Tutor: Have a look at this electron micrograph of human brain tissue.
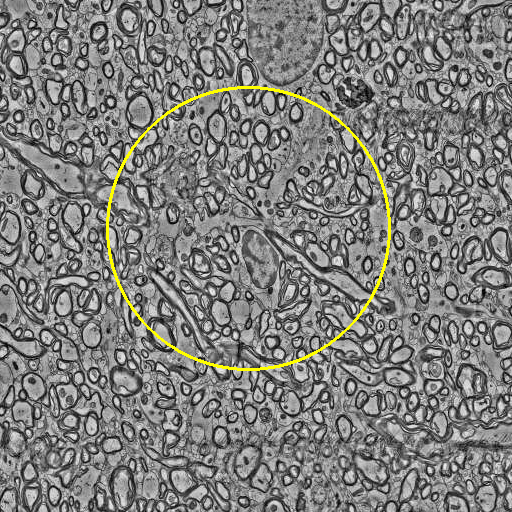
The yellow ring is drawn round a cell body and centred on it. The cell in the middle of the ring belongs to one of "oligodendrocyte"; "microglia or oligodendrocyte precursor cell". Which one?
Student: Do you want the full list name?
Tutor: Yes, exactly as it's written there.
microglia or oligodendrocyte precursor cell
